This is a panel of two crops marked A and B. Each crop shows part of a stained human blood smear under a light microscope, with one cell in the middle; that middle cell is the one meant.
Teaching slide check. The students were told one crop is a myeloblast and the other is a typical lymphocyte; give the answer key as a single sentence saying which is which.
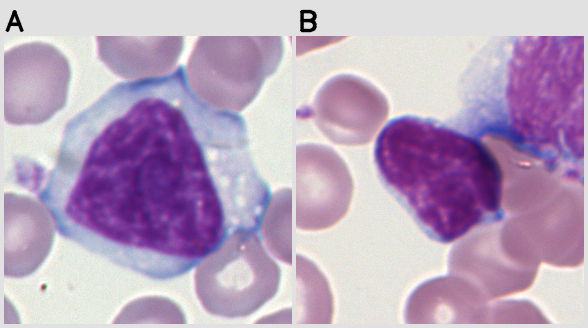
Crop A depicts a myeloblast, and a typical lymphocyte is depicted in crop B.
